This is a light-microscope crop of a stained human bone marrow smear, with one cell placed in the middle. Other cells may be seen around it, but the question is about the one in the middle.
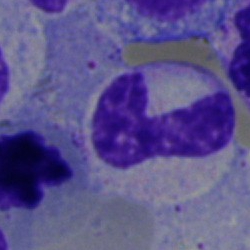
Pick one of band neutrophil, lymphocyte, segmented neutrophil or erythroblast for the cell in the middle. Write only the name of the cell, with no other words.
band neutrophil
